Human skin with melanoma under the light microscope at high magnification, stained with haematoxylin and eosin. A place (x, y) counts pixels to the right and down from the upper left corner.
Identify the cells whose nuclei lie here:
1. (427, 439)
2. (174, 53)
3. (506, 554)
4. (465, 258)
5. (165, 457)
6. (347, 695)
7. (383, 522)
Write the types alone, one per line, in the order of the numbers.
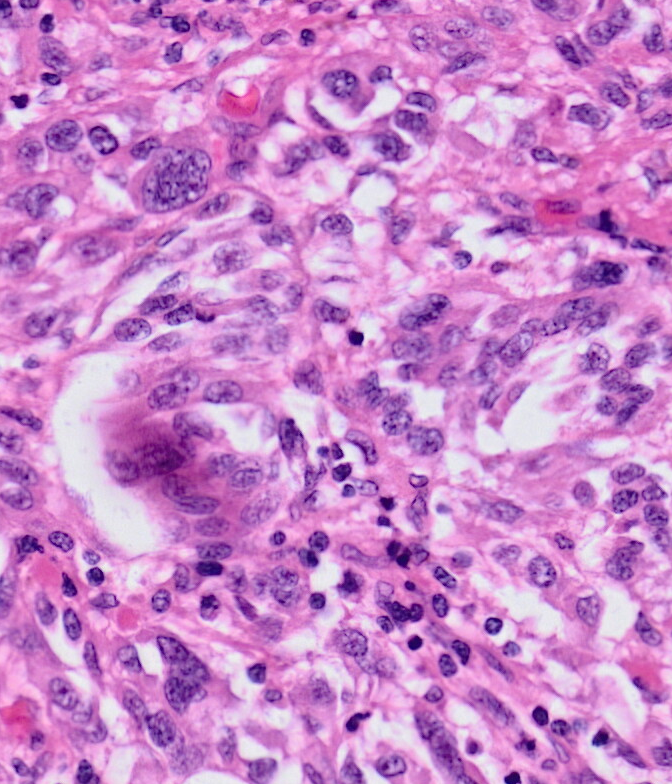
melanoma cell
lymphocyte
melanoma cell
lymphocyte
melanoma cell
melanoma cell
lymphocyte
